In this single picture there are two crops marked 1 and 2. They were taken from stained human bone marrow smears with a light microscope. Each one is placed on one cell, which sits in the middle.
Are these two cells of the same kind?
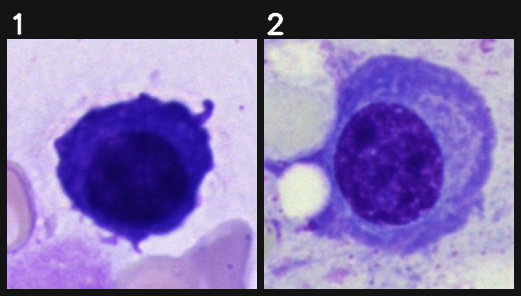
yes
